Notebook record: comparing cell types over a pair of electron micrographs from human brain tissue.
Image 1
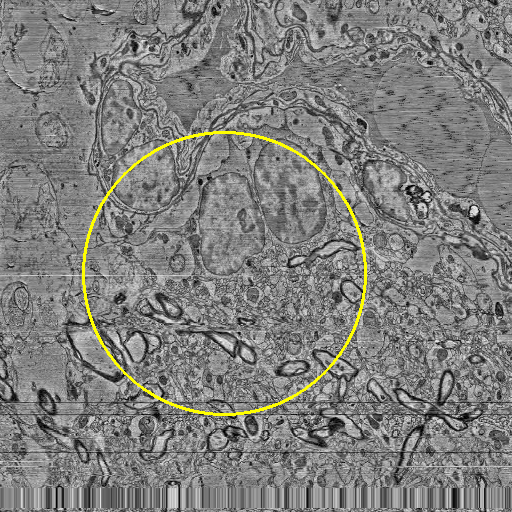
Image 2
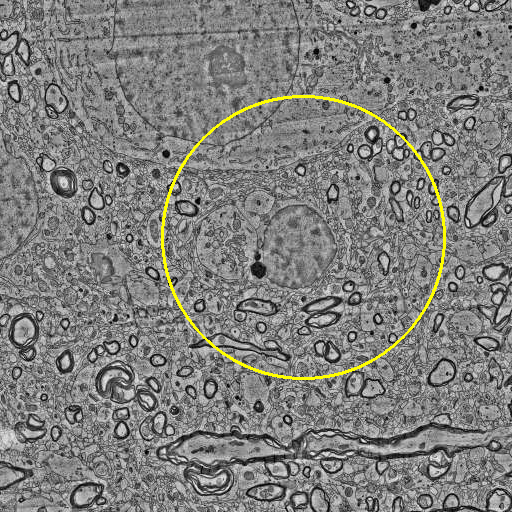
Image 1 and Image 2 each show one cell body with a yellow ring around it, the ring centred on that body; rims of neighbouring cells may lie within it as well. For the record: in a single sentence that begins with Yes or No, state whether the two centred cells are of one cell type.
Yes, one cell type is shared by the centred cells of Image 1 and Image 2.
